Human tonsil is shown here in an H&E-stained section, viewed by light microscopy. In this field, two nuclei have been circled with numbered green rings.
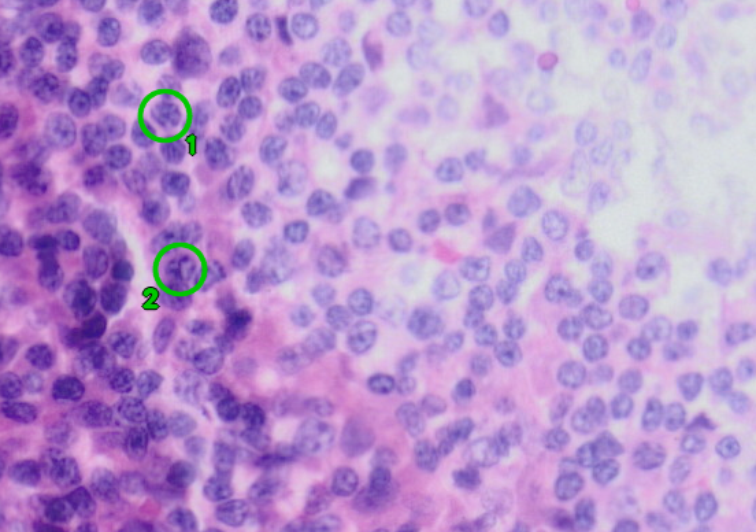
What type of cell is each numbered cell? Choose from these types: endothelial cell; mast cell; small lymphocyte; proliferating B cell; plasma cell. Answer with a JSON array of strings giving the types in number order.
["small lymphocyte", "plasma cell"]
